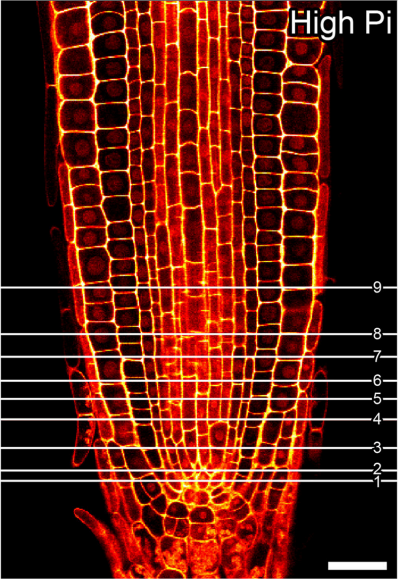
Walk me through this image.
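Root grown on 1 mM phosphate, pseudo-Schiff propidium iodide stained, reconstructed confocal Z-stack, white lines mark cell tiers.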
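This is a longitudinal optical section through a root tip near the root apical meristem, with cell walls outlined brightly in orange and yellow. Parallel files of rectangular cells run along the length of the root, the outer files holding larger, boxier cells and the central files narrow, elongated cells. Toward the bottom, the files converge onto a small group of cells at the tip, below which lies a cap of irregularly shaped cells. Cells near the tip are small and closely packed, and they become longer further up the root. The files on each side are regular and run straight, with few extra divisions between them.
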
